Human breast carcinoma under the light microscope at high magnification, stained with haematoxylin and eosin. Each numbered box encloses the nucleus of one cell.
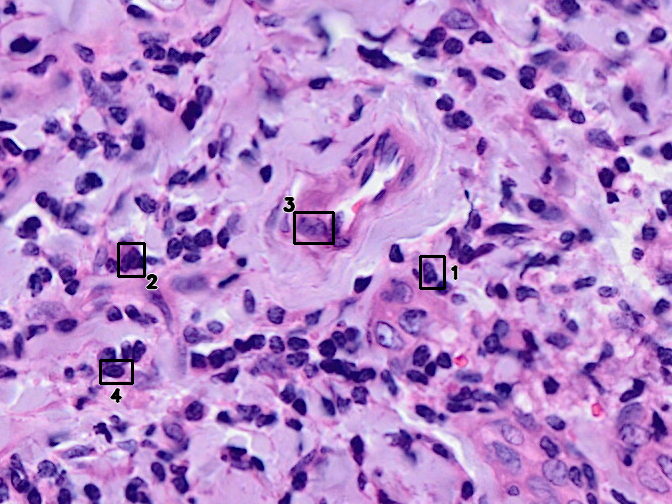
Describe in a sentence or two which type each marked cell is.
Cells 1, 2 and 4 are lymphocytes. Cell 3 is an endothelial cell.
